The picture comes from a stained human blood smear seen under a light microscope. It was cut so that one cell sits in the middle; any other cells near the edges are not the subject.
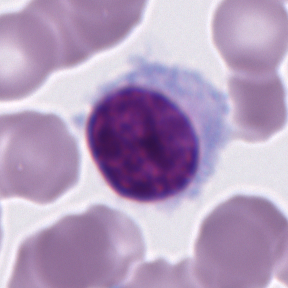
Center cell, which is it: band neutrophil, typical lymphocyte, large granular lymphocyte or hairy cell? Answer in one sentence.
In the central position of this crop, the cell is a hairy cell.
